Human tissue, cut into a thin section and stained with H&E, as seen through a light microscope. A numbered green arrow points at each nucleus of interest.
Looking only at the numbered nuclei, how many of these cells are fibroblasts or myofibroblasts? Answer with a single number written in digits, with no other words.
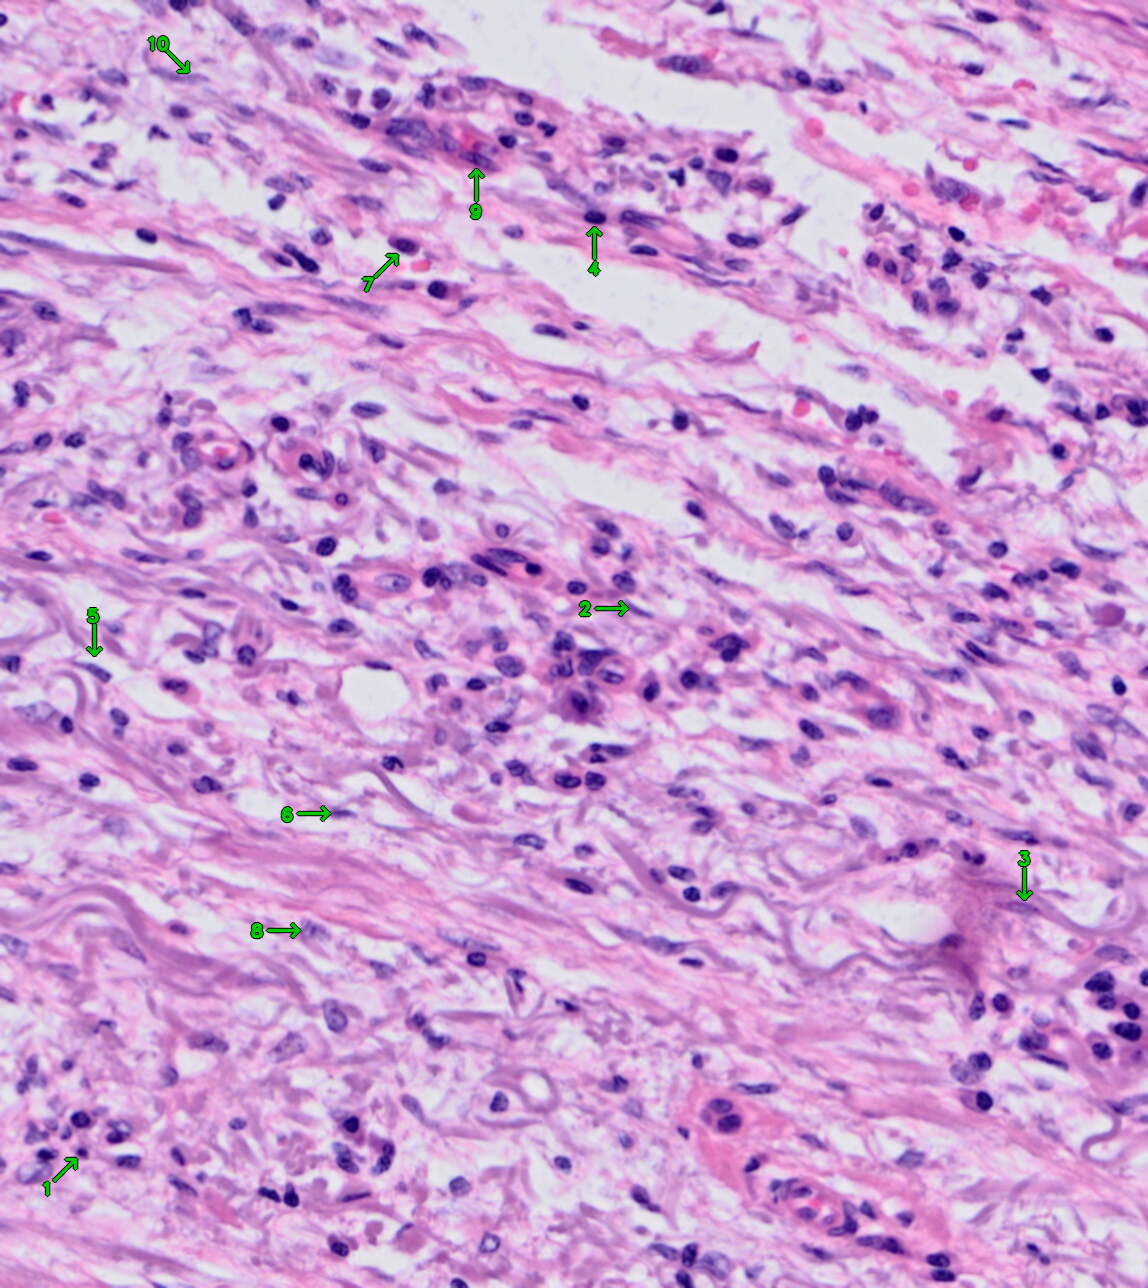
6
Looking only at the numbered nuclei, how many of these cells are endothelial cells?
1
